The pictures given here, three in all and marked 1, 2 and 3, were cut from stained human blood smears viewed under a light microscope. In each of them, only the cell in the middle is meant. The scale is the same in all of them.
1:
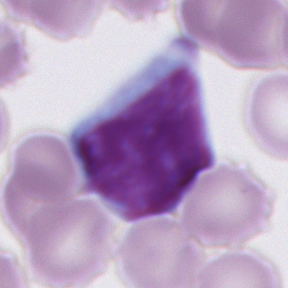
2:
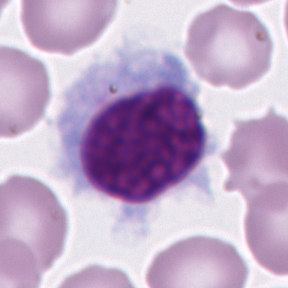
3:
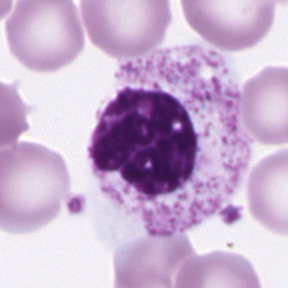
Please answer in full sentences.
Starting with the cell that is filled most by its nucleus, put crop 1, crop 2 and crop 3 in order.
They run 1, 2, 3, the most filled first.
